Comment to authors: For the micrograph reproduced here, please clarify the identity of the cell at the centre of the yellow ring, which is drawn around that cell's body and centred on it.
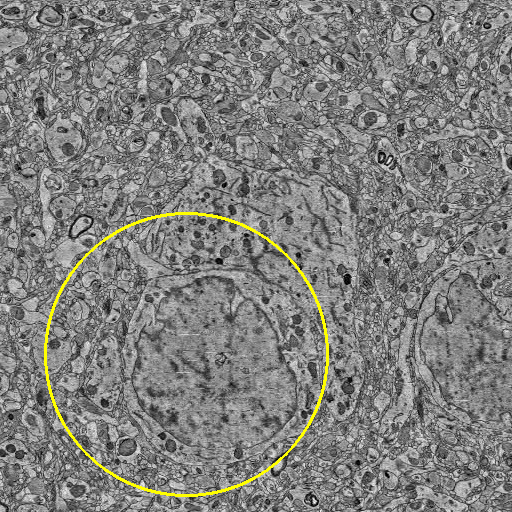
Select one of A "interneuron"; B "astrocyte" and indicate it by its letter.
A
